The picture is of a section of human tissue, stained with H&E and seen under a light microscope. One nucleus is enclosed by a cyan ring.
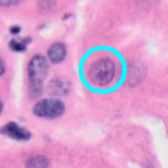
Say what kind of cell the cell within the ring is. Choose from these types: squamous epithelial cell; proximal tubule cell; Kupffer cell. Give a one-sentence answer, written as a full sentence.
In cell-type terms, the cell within the ring is a proximal tubule cell.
